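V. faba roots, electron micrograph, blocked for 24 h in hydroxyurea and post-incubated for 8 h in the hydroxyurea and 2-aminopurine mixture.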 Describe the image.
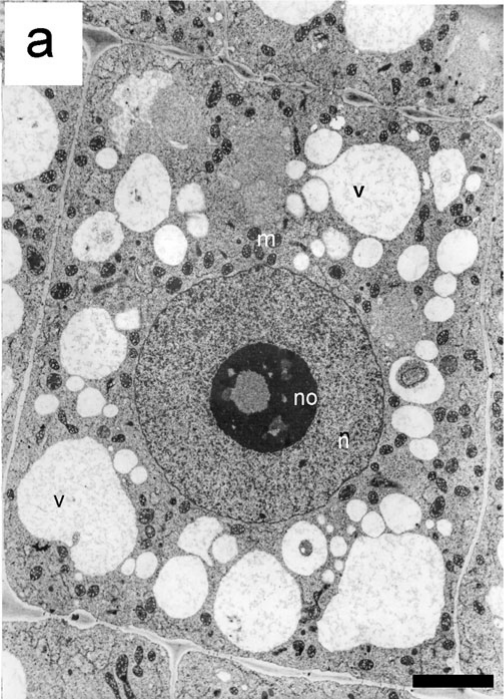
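A large, round nucleus lies near the centre, filled with finely granular nucleoplasm and bounded by a thin envelope. Inside it sits a single large, very electron-dense nucleolus containing paler patches. The surrounding cytoplasm holds many small, dark mitochondria scattered throughout. Numerous pale, electron-lucent vacuoles of very different sizes lie around the nucleus, some small and round, others large and irregular.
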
